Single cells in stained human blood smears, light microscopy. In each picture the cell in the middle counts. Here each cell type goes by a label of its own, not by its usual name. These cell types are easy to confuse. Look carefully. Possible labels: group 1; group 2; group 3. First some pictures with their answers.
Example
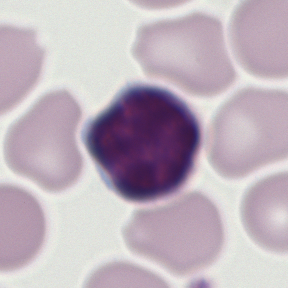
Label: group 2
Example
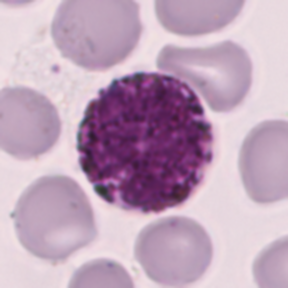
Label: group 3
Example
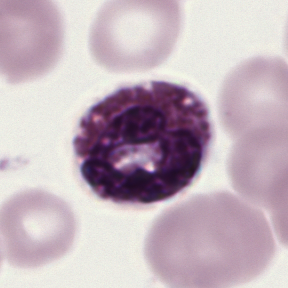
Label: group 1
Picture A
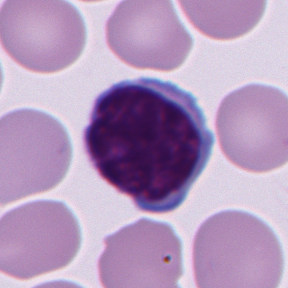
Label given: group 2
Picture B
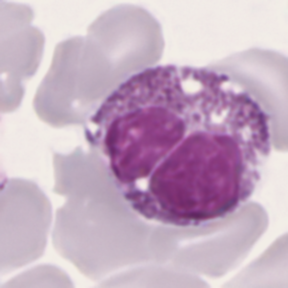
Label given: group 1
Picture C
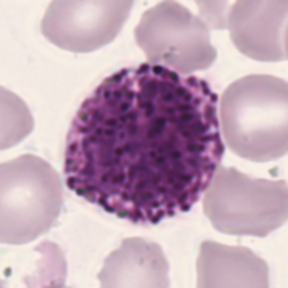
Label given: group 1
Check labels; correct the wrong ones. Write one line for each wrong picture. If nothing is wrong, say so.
C: not group 1 but group 3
